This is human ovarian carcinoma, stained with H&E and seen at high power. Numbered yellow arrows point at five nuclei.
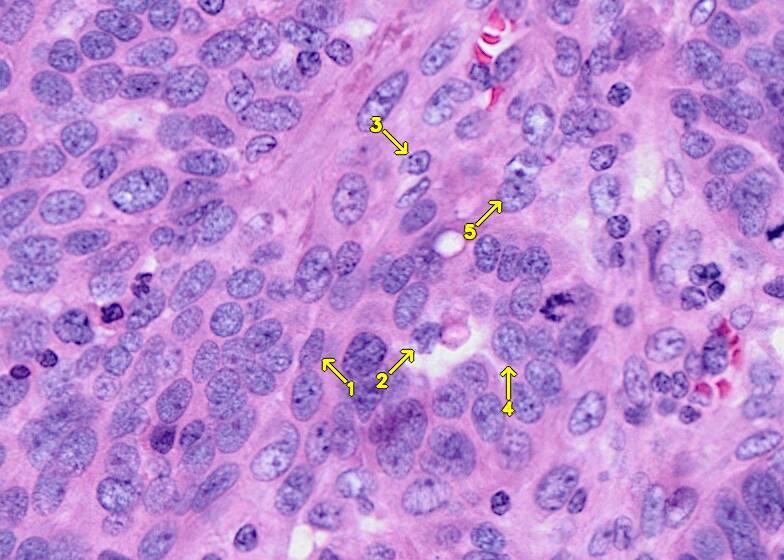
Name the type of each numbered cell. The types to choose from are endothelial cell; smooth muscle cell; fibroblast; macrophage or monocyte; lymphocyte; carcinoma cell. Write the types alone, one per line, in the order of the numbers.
carcinoma cell
macrophage or monocyte
macrophage or monocyte
carcinoma cell
fibroblast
